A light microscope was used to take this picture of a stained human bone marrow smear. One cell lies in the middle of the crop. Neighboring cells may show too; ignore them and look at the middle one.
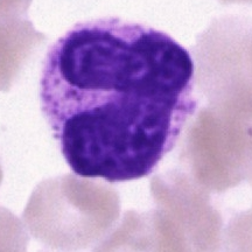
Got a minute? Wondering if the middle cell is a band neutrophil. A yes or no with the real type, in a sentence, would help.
No, it is a segmented neutrophil rather than a band neutrophil that the middle of the crop contains.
